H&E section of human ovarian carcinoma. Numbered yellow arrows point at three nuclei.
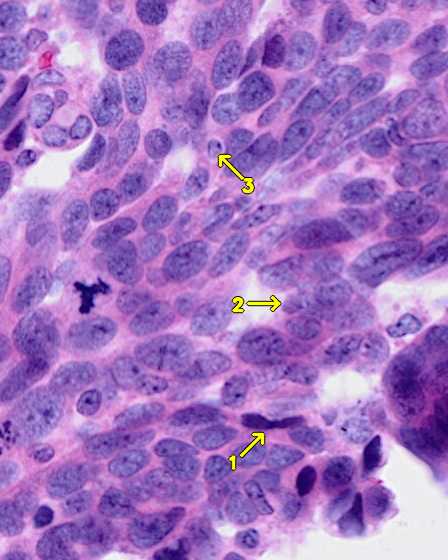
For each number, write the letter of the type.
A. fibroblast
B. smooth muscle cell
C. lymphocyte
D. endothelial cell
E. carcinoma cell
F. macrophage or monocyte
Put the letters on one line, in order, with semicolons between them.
E; E; F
